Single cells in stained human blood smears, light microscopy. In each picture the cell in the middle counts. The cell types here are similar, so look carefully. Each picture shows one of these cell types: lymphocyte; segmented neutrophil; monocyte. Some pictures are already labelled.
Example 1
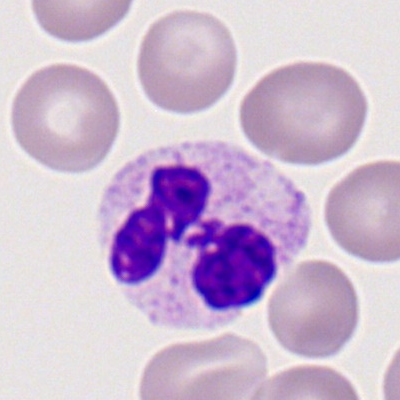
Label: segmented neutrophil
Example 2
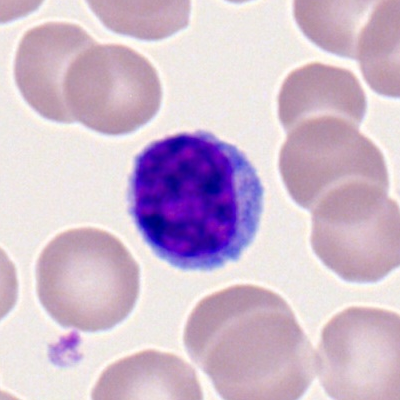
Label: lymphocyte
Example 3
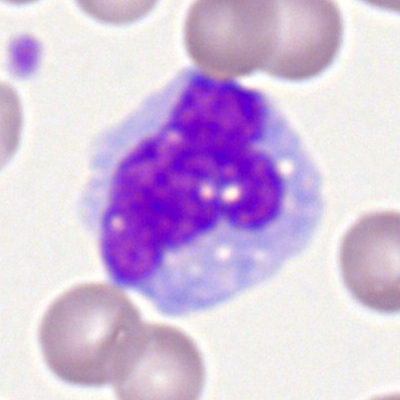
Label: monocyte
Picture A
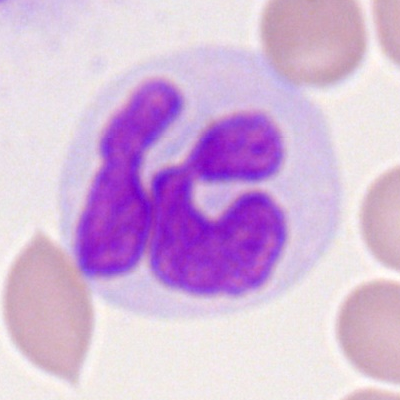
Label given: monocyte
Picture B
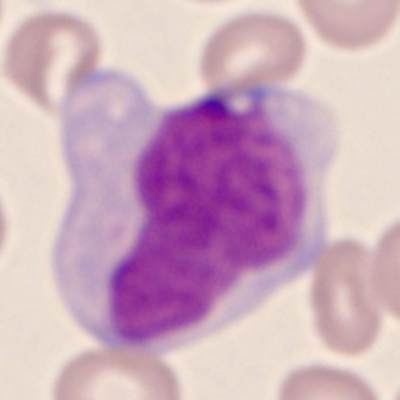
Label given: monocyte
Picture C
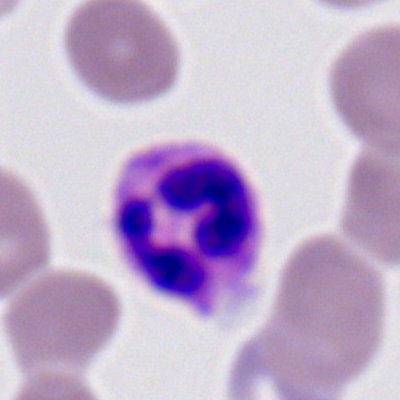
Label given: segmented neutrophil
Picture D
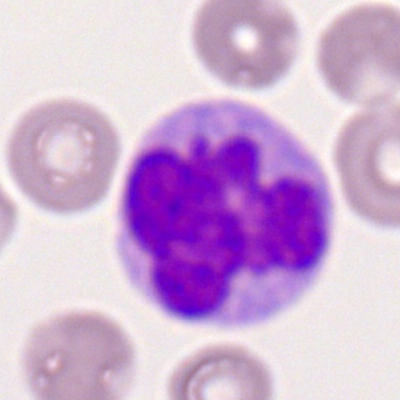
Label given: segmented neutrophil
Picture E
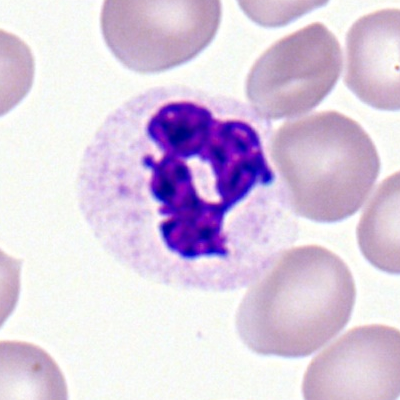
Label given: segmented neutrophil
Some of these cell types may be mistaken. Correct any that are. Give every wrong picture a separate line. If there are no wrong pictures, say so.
D: not segmented neutrophil but monocyte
